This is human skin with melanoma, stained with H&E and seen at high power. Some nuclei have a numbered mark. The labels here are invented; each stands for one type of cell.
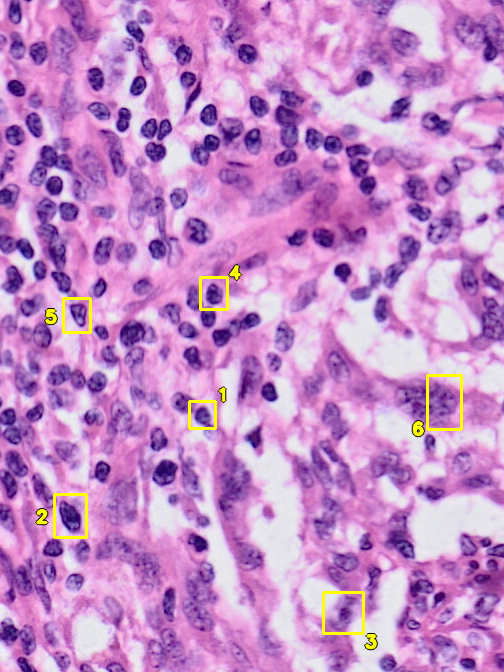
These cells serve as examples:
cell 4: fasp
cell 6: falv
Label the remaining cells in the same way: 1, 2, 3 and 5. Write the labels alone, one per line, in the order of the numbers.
fasp
fasp
falv
fasp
